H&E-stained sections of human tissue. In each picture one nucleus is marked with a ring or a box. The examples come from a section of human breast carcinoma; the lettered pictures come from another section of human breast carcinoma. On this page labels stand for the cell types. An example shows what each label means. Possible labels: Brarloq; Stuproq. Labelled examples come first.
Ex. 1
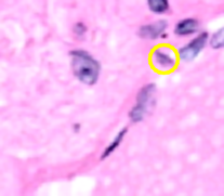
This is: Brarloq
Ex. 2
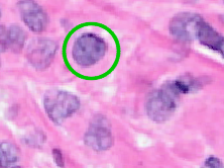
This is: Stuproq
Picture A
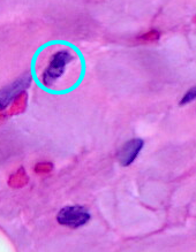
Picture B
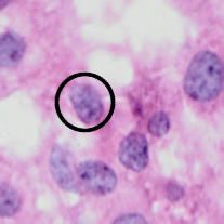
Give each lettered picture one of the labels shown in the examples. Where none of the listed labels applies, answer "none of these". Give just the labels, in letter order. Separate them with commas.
none of these, Stuproq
